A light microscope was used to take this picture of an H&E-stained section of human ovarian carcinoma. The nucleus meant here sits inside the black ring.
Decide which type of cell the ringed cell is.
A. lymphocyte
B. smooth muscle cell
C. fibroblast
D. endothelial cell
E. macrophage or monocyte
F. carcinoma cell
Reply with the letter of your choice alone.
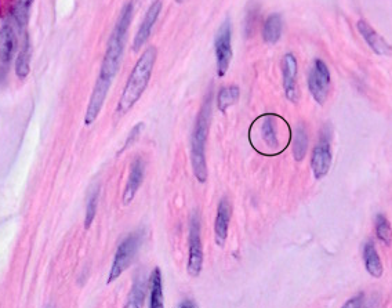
B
